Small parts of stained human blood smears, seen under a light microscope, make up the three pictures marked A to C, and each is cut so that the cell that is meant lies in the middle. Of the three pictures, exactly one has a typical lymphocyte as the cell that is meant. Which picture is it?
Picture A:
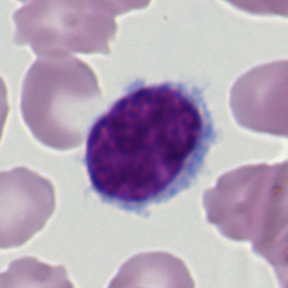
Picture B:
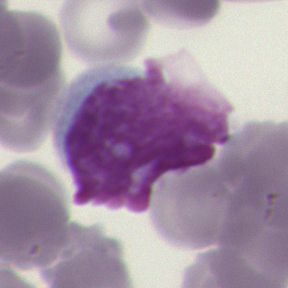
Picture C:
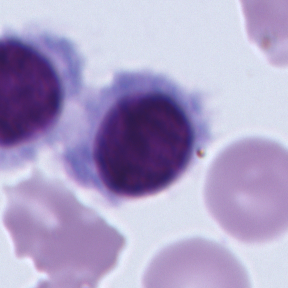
B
